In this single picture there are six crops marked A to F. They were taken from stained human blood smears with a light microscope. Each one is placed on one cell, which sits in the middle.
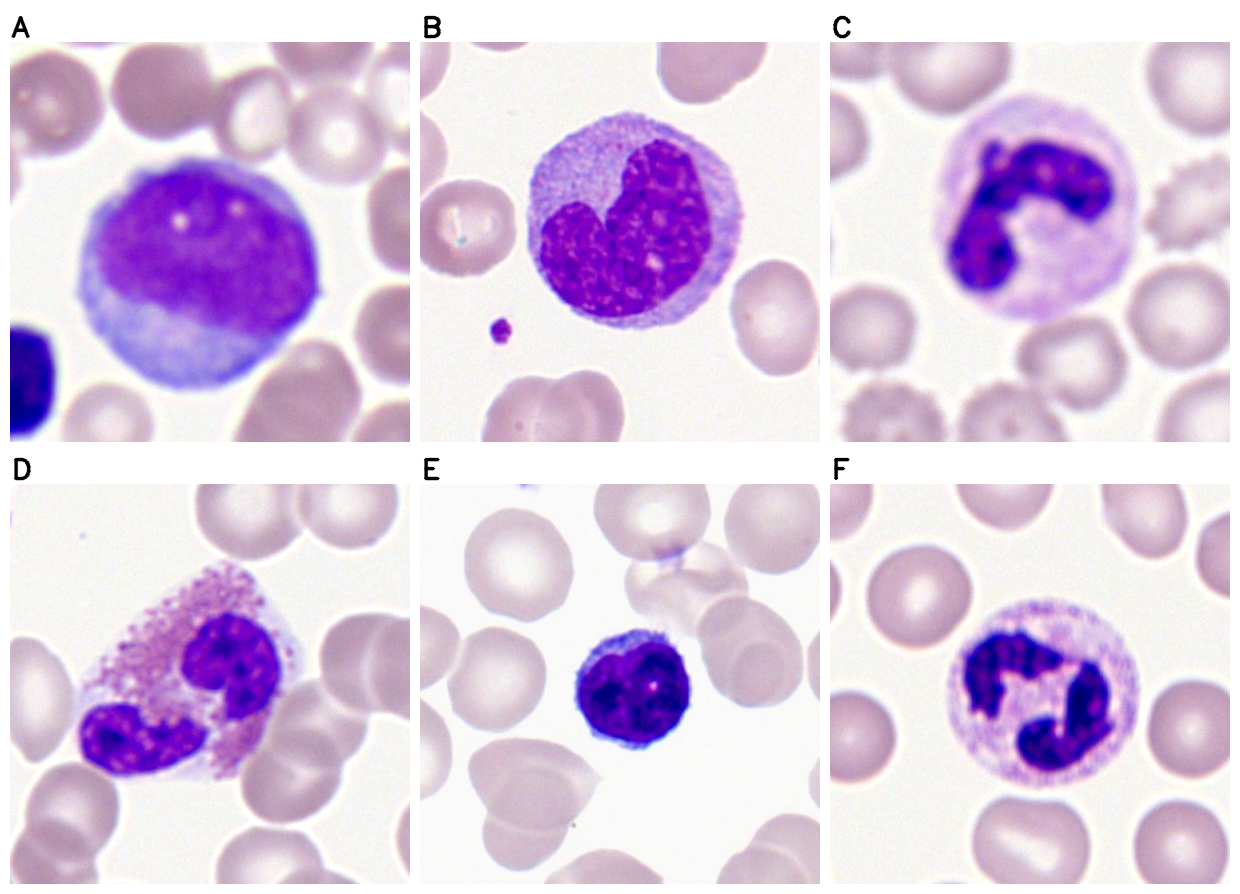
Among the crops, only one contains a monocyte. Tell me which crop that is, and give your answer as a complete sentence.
Among the crops provided, a monocyte occupies the center of crop B.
